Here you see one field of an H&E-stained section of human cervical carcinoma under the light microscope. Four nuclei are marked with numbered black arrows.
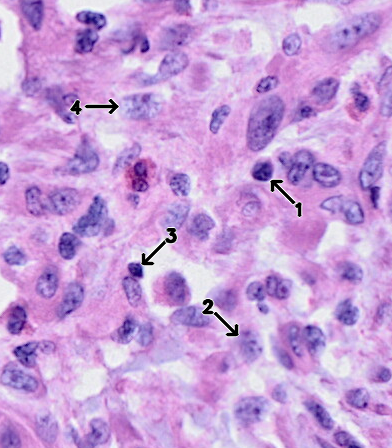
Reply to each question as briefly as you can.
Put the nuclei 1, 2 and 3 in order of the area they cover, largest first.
2, 1, 3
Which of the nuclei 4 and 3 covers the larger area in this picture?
4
